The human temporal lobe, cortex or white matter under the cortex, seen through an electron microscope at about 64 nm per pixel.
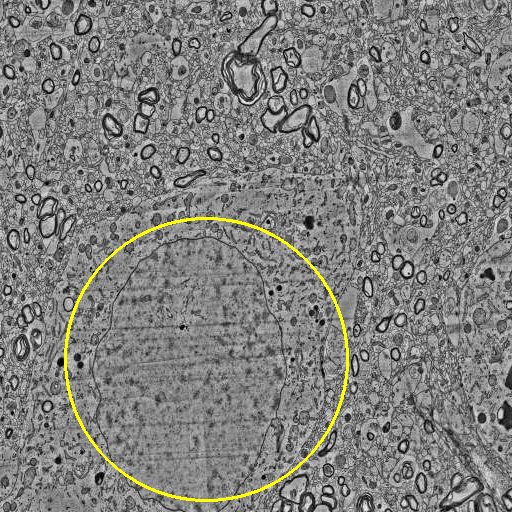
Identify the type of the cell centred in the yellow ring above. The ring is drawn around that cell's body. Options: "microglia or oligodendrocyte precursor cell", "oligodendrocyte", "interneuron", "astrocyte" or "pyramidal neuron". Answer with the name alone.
pyramidal neuron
